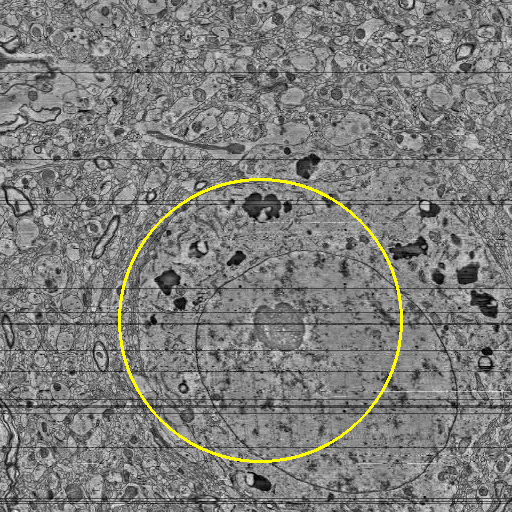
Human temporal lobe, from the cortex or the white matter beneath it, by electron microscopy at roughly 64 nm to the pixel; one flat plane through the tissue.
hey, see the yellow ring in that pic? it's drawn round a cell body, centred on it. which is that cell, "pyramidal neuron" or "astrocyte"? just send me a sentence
The cell in the ring is a pyramidal neuron.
